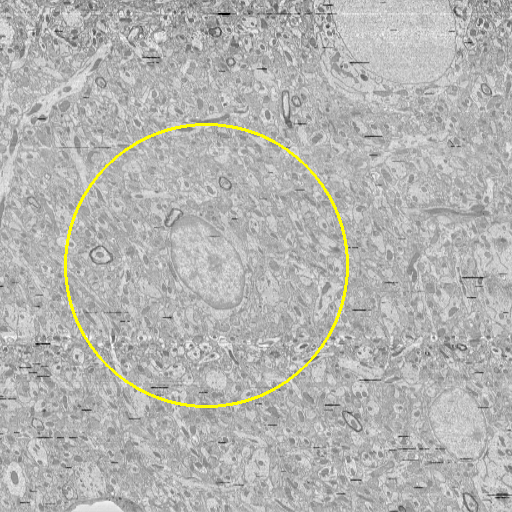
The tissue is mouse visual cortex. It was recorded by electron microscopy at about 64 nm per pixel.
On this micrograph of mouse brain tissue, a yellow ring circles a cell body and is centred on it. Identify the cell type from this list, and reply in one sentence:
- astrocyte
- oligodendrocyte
The cell at the centre is an oligodendrocyte.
